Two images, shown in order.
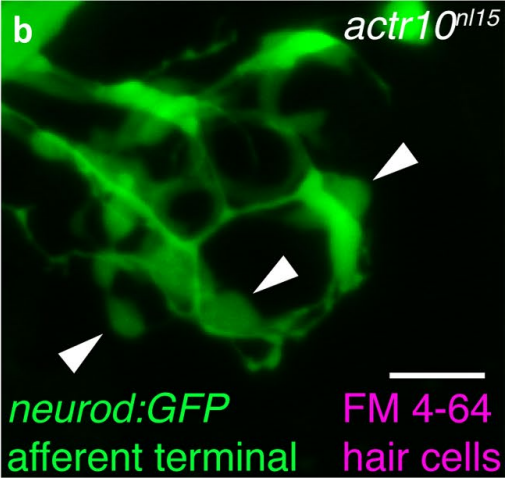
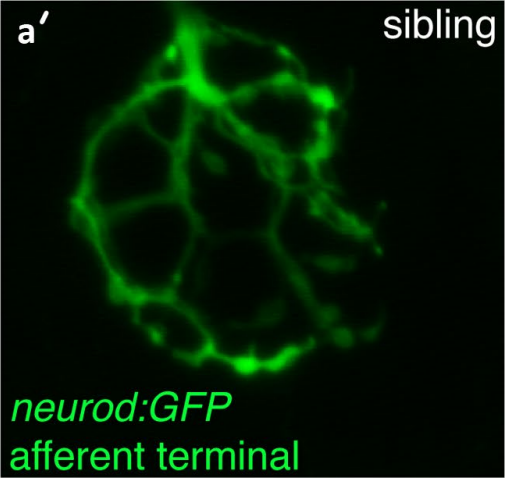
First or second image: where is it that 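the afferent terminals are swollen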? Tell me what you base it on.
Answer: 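The first image. First image: the green processes are thick and carry large bulbous enlargements. Second image: the green processes form thin, even strands outlining round spaces.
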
